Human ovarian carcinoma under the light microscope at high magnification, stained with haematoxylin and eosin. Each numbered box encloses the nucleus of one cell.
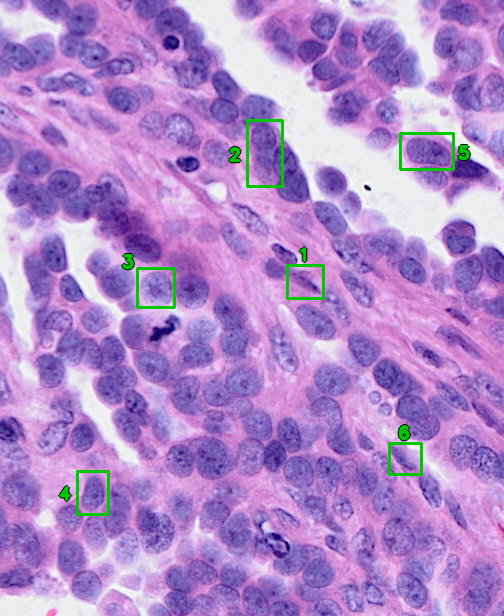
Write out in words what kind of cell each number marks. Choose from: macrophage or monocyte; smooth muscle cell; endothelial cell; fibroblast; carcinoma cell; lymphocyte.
Cell 1 is a fibroblast, cell 2 is a carcinoma cell, cell 3 is a carcinoma cell, cell 4 is a carcinoma cell, cell 5 is a carcinoma cell and cell 6 is a fibroblast.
